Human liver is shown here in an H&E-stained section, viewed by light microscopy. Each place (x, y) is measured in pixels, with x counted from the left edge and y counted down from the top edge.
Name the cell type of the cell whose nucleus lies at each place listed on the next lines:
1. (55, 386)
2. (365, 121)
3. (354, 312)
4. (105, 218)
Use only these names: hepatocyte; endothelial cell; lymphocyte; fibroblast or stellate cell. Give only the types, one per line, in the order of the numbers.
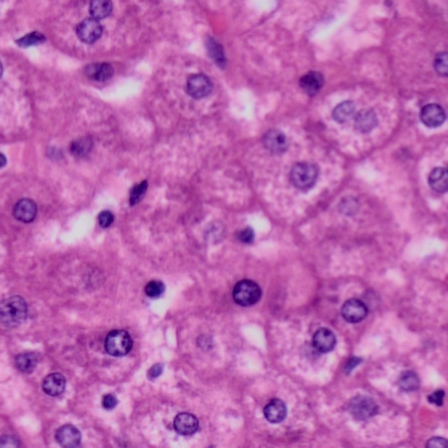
hepatocyte
hepatocyte
hepatocyte
lymphocyte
